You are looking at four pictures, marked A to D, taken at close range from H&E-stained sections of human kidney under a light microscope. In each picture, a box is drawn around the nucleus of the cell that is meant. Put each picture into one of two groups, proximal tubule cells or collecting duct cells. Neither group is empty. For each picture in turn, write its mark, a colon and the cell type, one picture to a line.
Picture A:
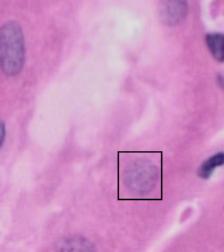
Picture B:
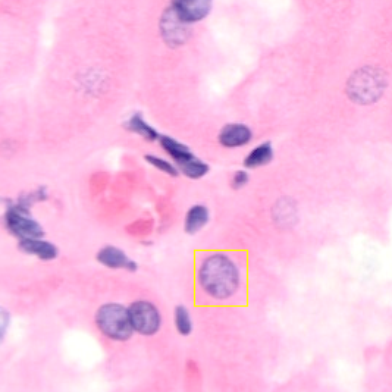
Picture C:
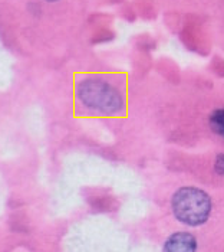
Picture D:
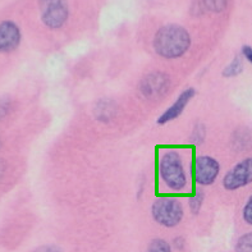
A: proximal tubule cell
B: proximal tubule cell
C: proximal tubule cell
D: collecting duct cell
